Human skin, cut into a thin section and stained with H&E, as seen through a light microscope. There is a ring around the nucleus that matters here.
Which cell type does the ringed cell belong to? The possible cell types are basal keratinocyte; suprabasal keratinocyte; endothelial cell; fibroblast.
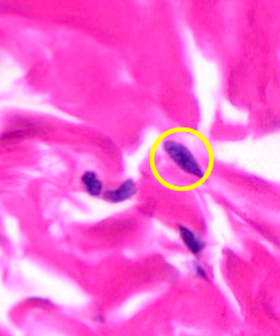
fibroblast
